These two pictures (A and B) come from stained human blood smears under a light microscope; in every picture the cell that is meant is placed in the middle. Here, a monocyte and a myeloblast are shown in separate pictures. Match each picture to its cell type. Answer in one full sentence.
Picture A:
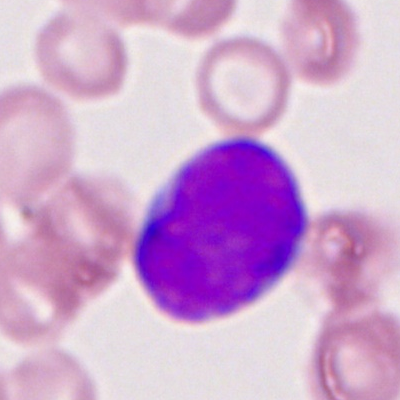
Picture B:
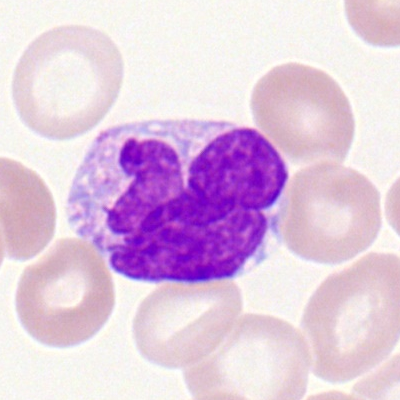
It is picture A that shows a myeloblast, and picture B that shows a monocyte.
